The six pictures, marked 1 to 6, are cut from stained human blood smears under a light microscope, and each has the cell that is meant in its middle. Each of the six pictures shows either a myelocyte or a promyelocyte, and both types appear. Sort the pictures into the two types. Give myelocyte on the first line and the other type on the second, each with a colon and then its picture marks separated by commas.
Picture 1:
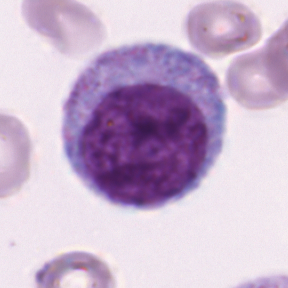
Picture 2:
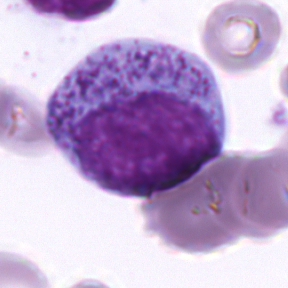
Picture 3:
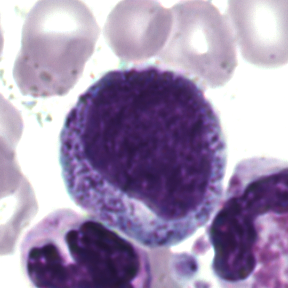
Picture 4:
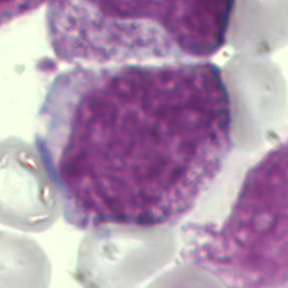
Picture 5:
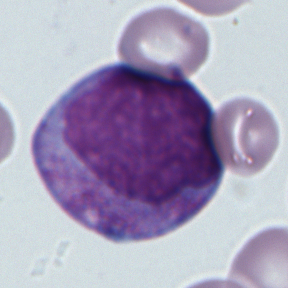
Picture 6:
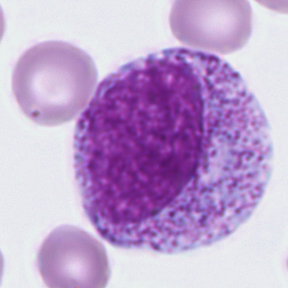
myelocyte: 1, 2
promyelocyte: 3, 4, 5, 6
